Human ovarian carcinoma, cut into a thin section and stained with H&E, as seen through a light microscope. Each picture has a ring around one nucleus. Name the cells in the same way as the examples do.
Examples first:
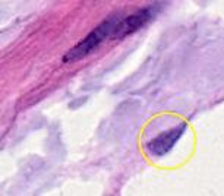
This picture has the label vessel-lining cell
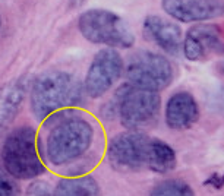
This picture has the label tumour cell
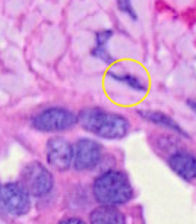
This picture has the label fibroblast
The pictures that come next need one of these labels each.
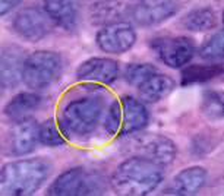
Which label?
tumour cell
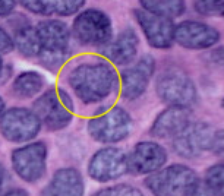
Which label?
tumour cell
